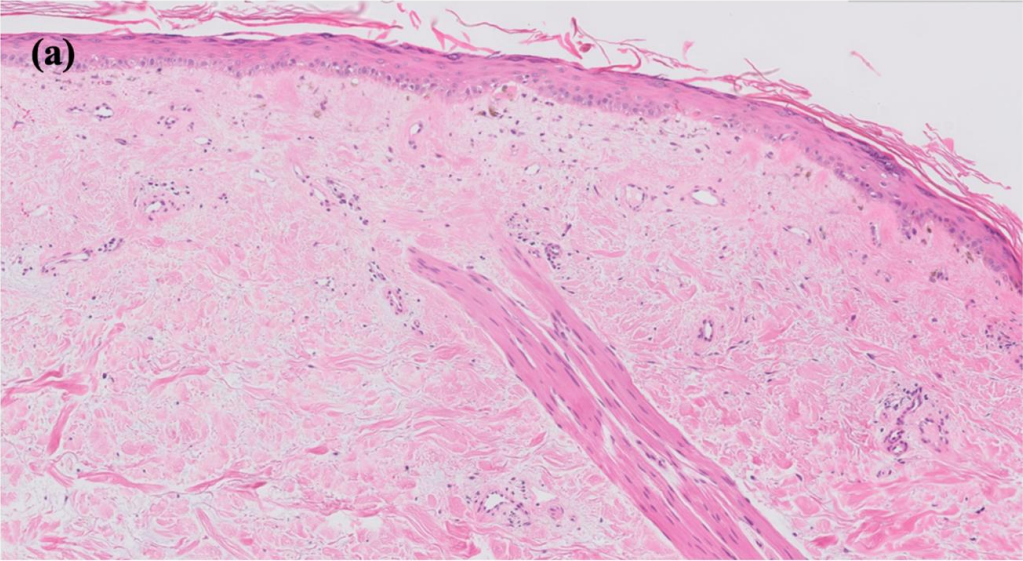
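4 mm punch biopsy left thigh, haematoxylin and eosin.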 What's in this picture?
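This is a lower-power view of skin: a thin epidermis with loose basket-weave keratin on top and collagenous dermis below. Inflammation is sparse, with small clusters of cells around superficial and mid-dermal vessels rather than a dense band. A long smooth muscle bundle runs obliquely through the dermis.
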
